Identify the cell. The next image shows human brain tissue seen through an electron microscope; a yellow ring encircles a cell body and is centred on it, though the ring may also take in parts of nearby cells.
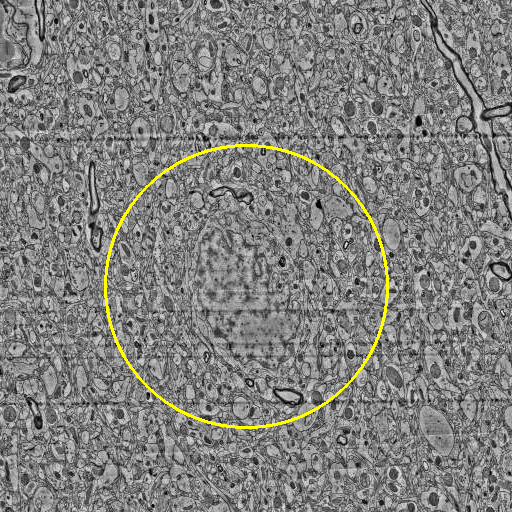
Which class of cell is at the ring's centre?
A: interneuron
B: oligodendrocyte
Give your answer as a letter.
A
